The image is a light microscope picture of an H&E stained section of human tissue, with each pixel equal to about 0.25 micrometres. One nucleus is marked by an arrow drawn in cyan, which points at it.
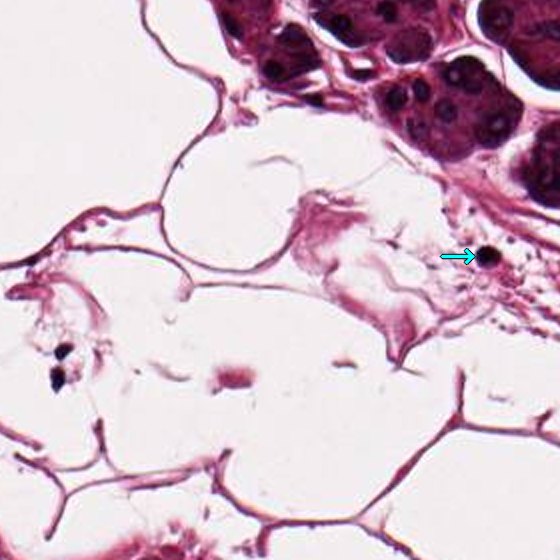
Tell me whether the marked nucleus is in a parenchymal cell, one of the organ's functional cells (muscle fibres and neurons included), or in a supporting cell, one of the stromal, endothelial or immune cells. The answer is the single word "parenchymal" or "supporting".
supporting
